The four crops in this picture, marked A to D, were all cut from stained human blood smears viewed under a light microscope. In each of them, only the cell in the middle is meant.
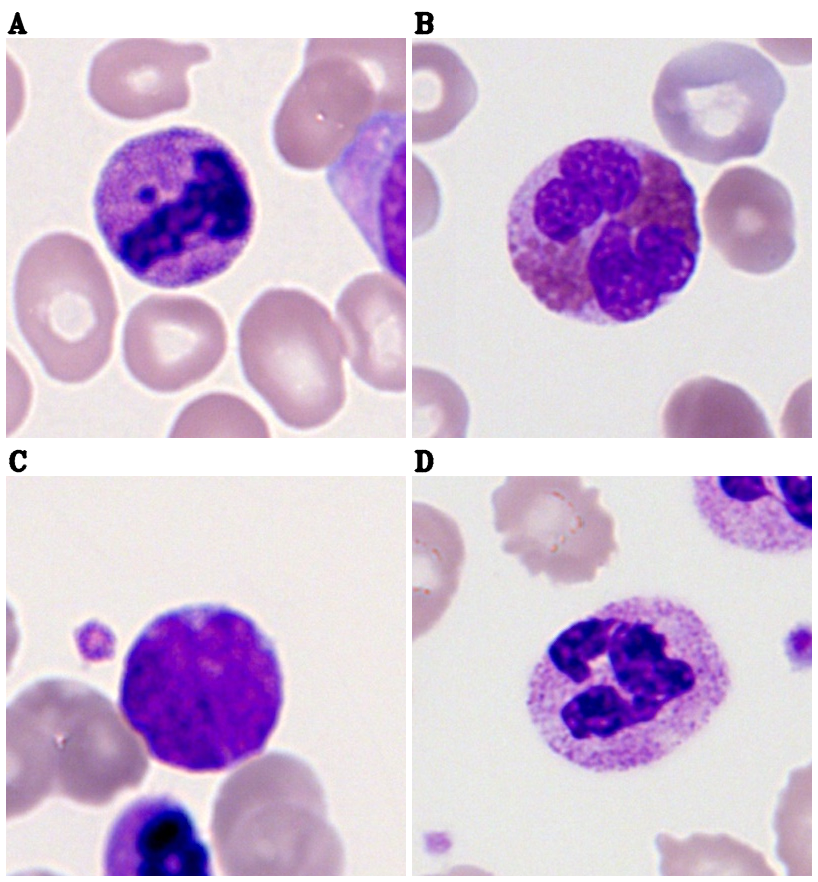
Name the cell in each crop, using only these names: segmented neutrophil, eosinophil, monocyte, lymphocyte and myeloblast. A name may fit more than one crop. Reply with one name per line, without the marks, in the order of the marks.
segmented neutrophil
eosinophil
myeloblast
segmented neutrophil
